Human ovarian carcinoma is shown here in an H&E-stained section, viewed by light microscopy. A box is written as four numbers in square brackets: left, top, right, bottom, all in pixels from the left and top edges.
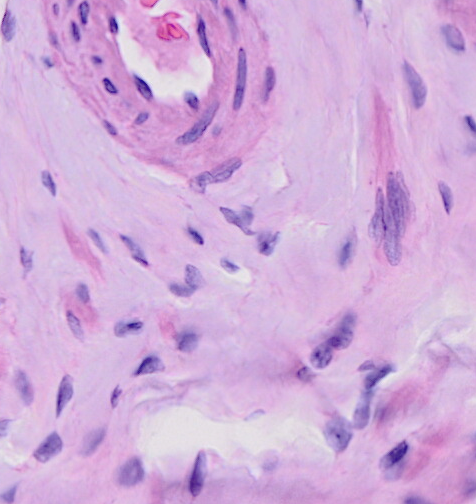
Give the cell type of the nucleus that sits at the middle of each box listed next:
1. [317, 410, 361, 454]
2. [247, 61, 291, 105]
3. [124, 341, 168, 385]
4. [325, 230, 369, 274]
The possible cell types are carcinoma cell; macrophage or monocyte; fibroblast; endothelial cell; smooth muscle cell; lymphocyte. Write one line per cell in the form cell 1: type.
cell 1: fibroblast
cell 2: smooth muscle cell
cell 3: fibroblast
cell 4: fibroblast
